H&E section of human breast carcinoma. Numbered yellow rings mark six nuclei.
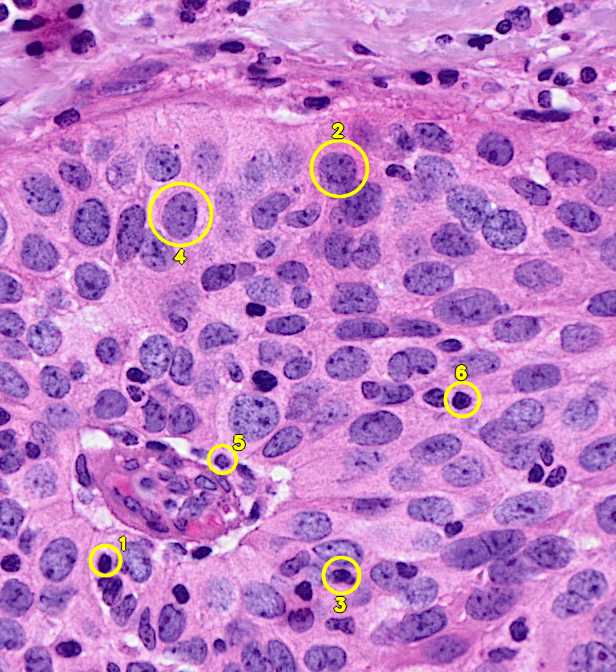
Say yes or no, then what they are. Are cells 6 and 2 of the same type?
No, cell 6 is a lymphocyte and cell 2 is a carcinoma cell.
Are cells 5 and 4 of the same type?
No, cell 5 is a lymphocyte and cell 4 is a carcinoma cell.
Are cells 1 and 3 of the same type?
Yes, both are lymphocytes.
